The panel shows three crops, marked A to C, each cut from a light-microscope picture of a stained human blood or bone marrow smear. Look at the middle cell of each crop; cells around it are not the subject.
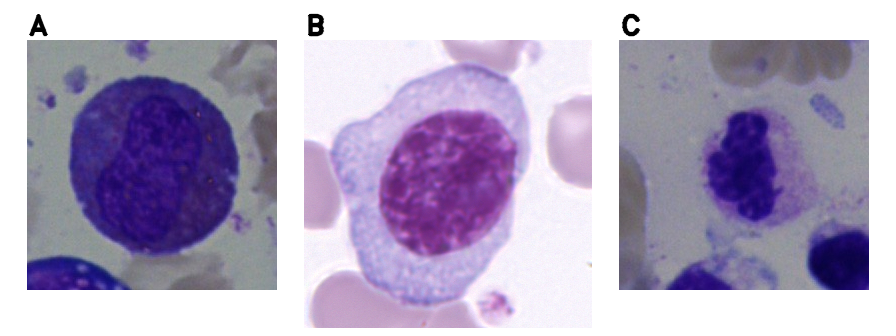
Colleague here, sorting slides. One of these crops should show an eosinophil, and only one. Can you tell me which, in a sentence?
Among these crops, crop A holds an eosinophil.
